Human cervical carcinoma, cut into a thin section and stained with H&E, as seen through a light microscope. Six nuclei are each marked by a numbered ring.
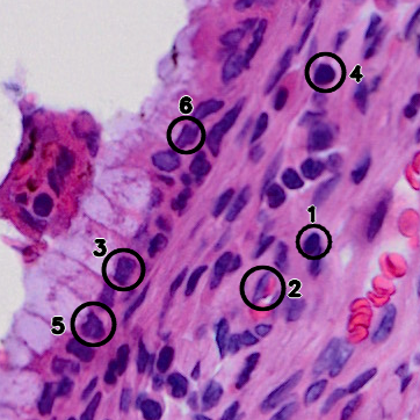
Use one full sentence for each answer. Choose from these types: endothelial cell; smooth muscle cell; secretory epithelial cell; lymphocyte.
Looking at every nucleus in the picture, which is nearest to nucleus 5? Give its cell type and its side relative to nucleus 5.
Just below and to the left of nucleus 5 lies the nearest nucleus, which belongs to a secretory epithelial cell.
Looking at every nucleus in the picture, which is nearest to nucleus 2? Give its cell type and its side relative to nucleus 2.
The nearest one is an endothelial cell, found below and to the right of nucleus 2.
